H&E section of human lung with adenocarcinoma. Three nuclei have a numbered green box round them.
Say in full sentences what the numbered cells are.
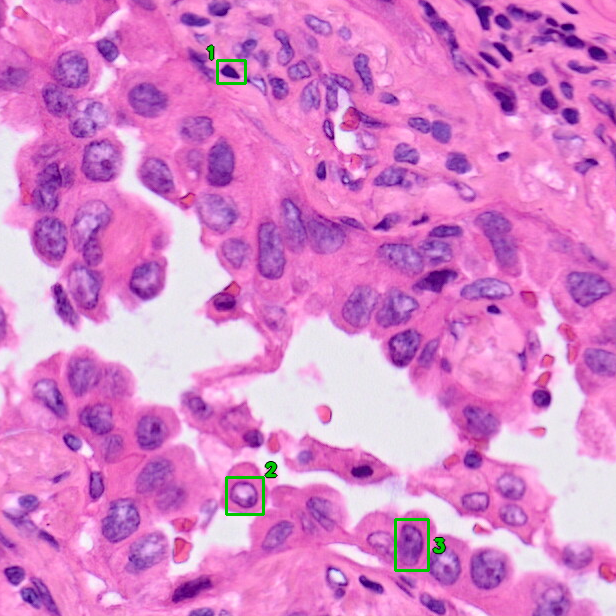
Cell 1 is a lymphocyte. Cell 2 is a macrophage or monocyte. Cell 3 is a carcinoma cell.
